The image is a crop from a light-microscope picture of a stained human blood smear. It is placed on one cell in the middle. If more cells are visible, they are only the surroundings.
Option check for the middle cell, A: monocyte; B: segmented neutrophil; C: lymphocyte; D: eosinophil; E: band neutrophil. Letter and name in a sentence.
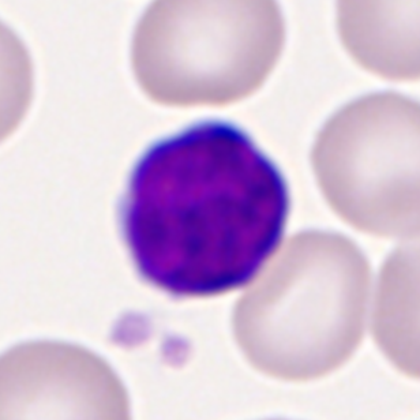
Of the options given, C is correct, the central cell being a lymphocyte.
